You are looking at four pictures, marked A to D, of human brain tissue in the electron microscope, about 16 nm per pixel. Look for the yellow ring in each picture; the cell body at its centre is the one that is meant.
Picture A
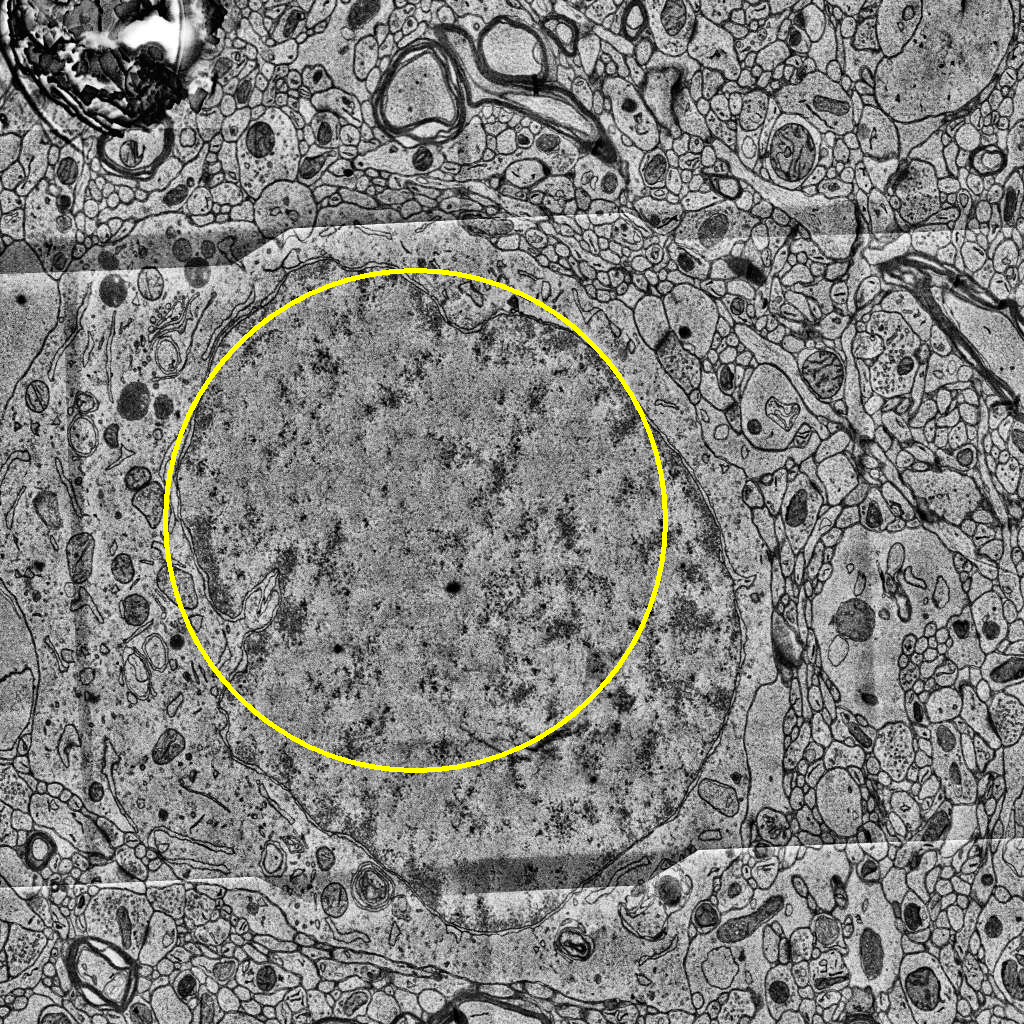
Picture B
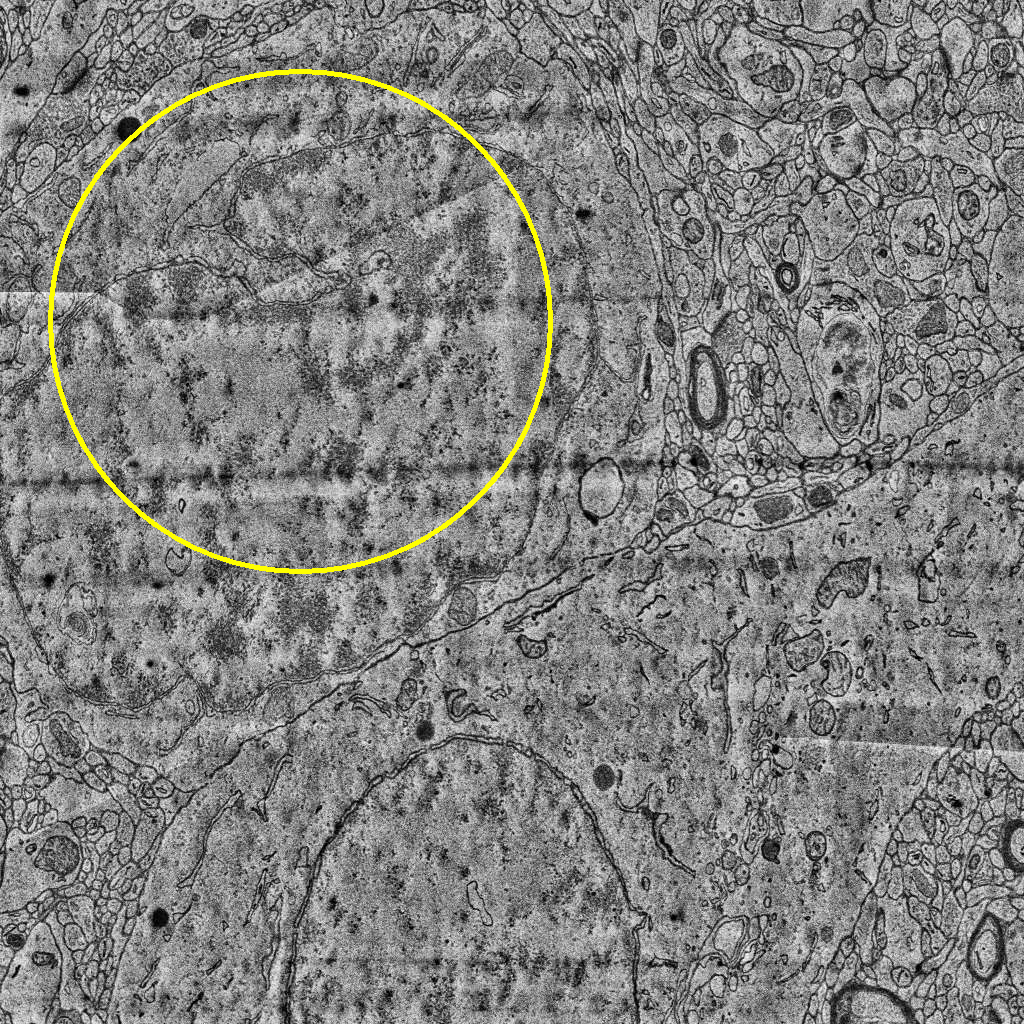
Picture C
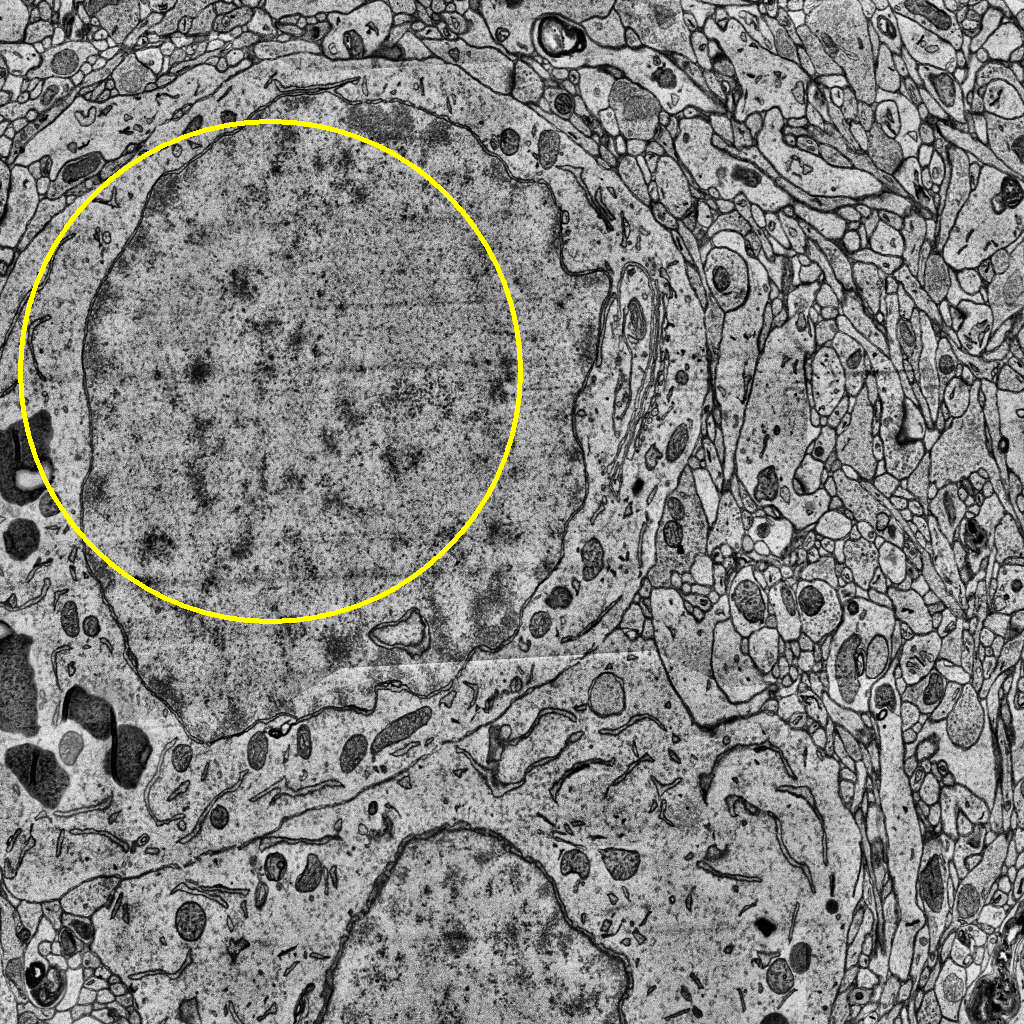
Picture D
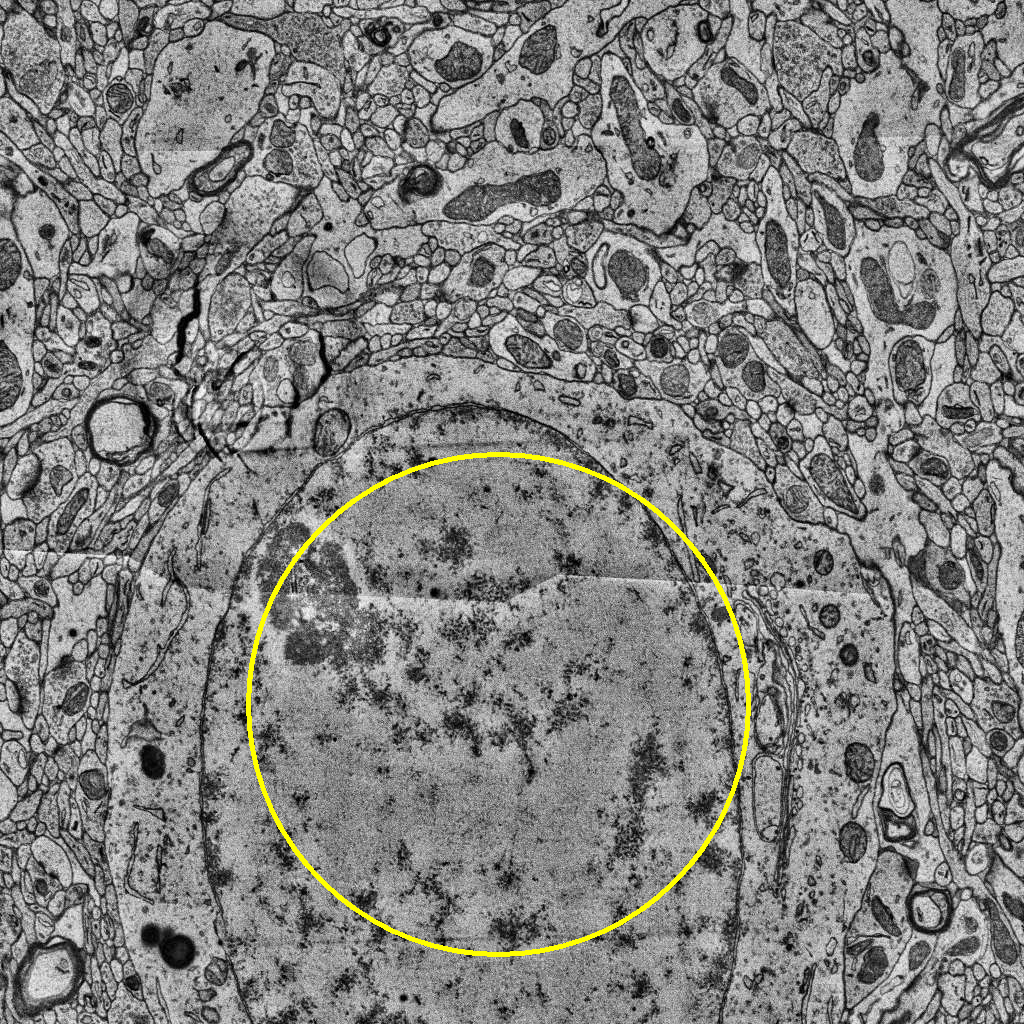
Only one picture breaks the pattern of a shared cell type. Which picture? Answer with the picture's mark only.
D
